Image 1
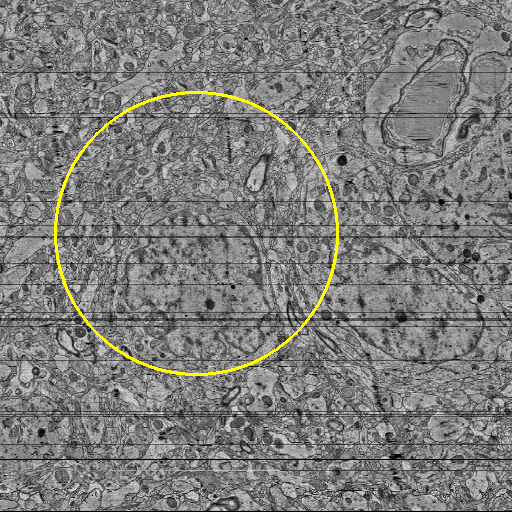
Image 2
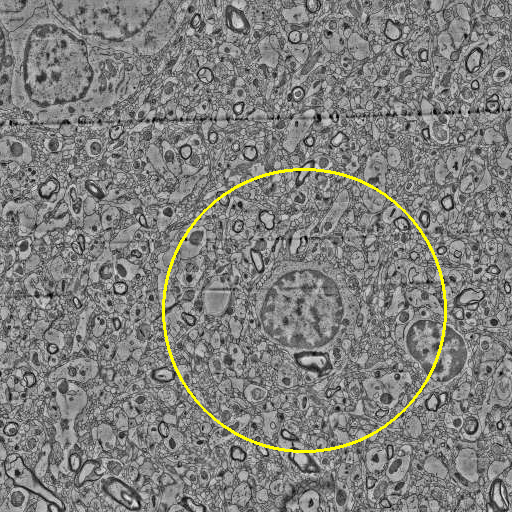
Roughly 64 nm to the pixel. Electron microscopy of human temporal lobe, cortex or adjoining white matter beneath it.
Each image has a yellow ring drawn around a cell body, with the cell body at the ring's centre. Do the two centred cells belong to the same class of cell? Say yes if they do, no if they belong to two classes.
no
